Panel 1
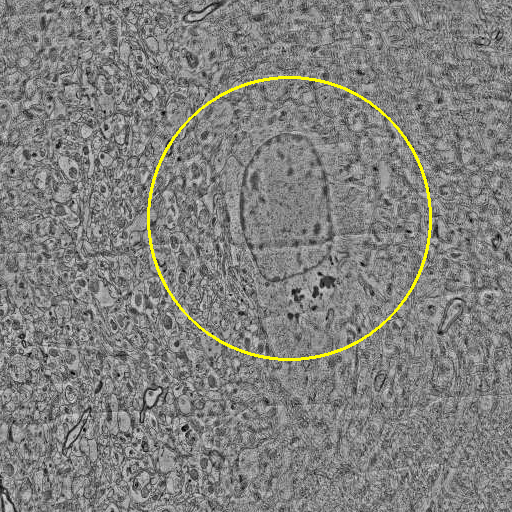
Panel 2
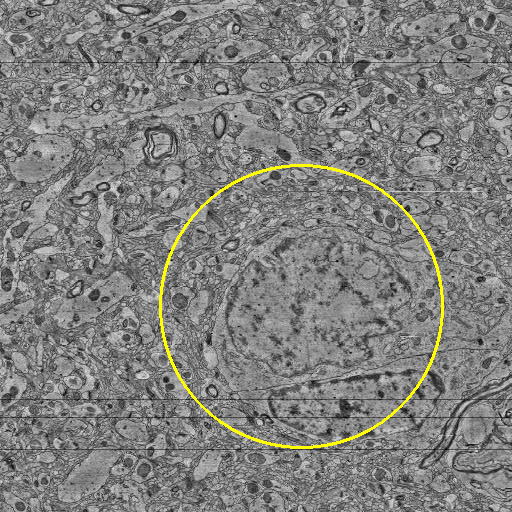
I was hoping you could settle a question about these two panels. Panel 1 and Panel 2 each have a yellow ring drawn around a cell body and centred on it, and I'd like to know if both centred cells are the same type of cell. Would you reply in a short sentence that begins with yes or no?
No, they are two types of cell.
